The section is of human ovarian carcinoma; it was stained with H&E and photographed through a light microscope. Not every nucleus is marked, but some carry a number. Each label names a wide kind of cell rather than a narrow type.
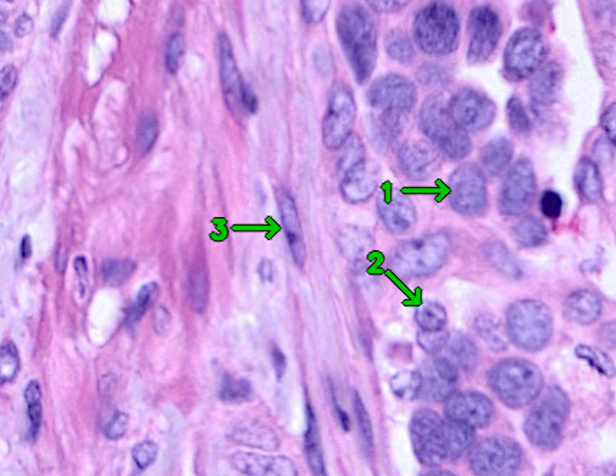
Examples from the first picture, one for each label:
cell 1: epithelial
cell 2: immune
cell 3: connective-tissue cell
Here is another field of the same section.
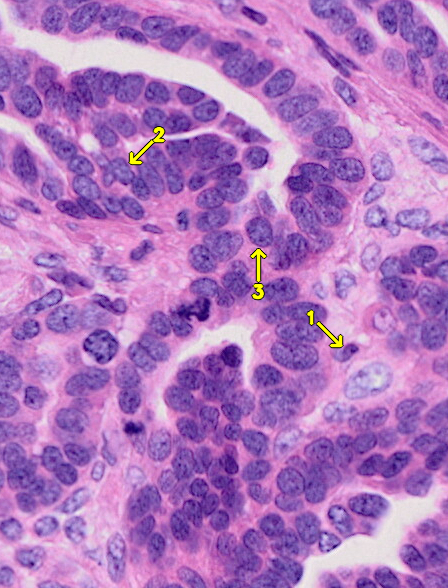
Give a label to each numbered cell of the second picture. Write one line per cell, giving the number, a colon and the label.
1: immune
2: epithelial
3: epithelial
